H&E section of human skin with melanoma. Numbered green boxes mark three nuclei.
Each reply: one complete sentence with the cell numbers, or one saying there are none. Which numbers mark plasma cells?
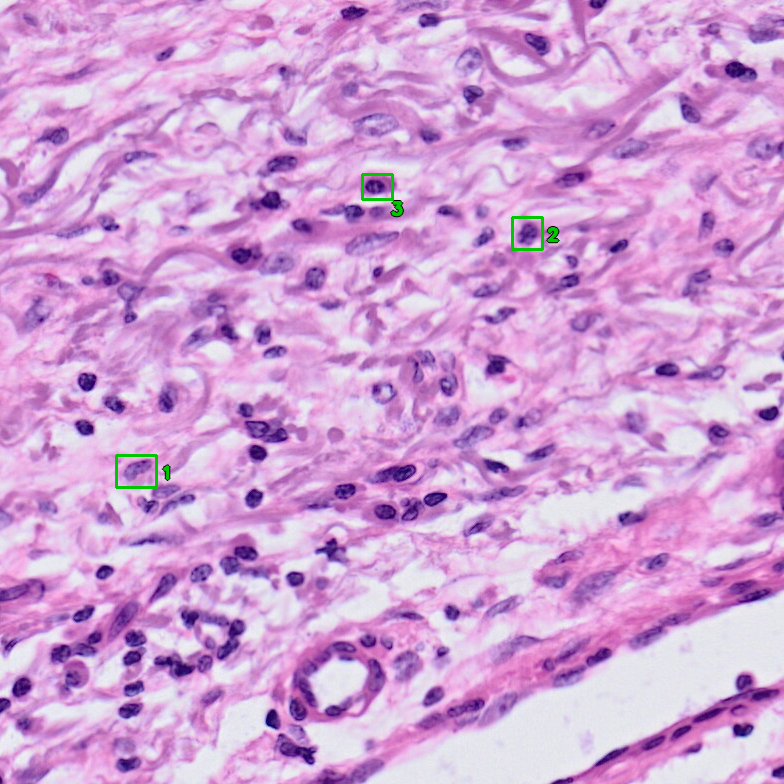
As for the cells numbered 2 and 3, they are plasma cells.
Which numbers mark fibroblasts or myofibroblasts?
Not one numbered cell here is one of the fibroblasts or myofibroblasts.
